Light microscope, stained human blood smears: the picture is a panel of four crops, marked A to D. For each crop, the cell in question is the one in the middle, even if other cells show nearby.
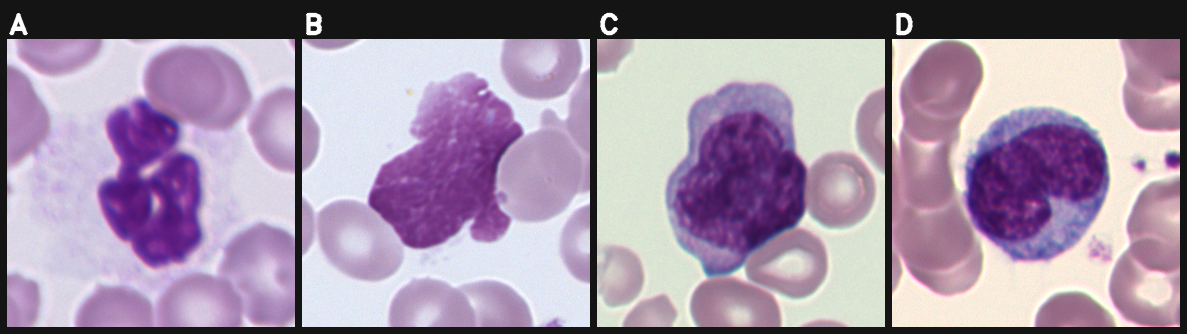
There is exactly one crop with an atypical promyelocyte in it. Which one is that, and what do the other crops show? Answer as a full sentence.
Crop C shows an atypical promyelocyte, while crop A is a segmented neutrophil, crop B is a smudge cell and crop D is a monocyte.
